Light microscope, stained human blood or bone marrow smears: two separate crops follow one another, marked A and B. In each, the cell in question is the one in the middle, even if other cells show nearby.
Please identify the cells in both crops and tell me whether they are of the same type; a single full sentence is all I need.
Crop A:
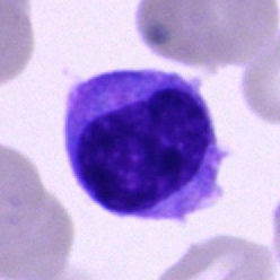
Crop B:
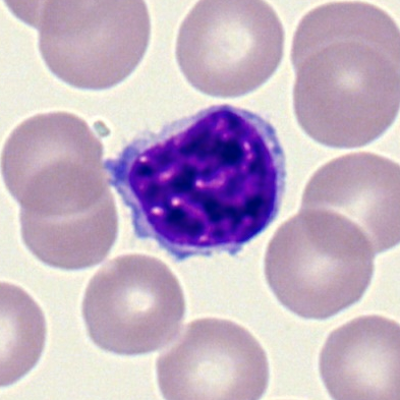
No, a monocyte lies at the centre of crop A, and a lymphocyte lies at the centre of crop B.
